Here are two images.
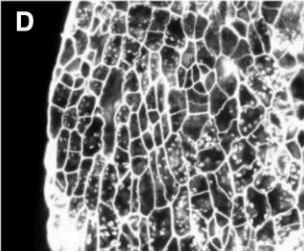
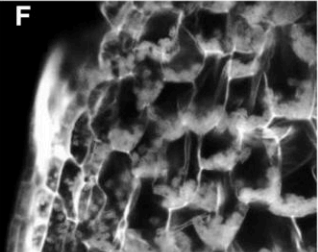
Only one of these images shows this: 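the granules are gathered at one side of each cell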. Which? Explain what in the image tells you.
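The second image. Second image: large cells with bright granules clustered along one wall. First image: small cells with granules scattered evenly through them.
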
